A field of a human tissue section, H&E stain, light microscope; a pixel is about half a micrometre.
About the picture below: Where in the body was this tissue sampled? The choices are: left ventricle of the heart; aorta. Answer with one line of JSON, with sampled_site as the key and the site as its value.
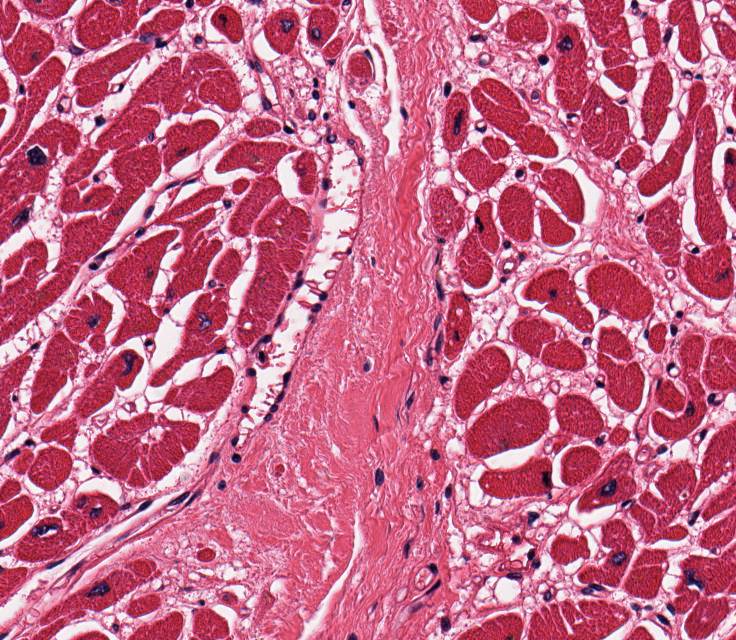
{"sampled_site": "left ventricle of the heart"}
